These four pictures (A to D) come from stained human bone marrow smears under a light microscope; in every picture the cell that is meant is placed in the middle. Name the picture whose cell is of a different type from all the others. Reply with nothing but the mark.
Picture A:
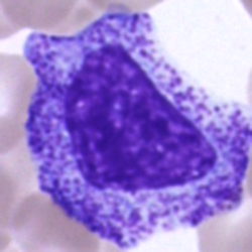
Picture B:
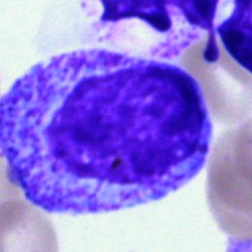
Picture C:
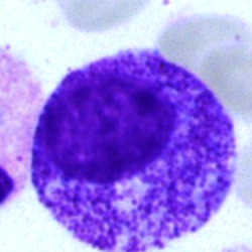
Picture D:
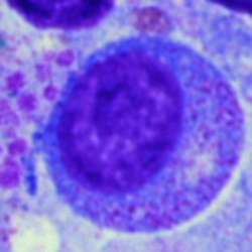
D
